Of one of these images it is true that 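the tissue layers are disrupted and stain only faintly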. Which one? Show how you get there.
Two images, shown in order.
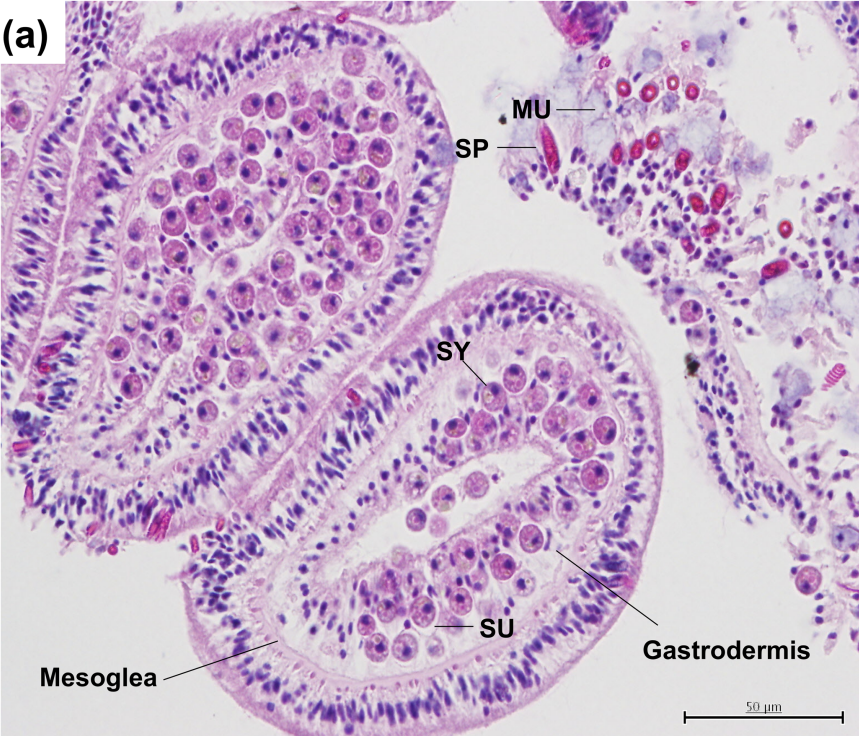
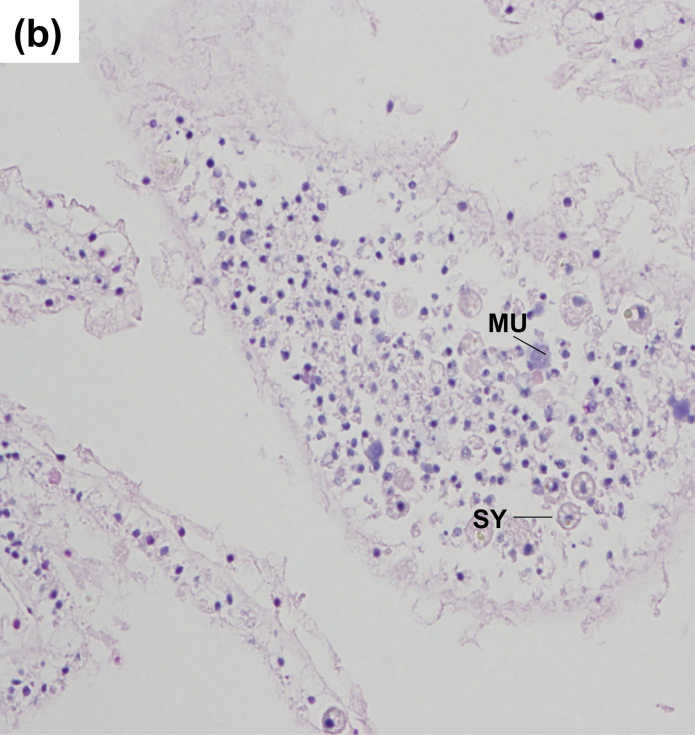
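Second image: pale, frayed tissue with scattered small dark nuclei and no clear epithelial layers. First image: intact, strongly stained epithelia with densely packed nuclei and a continuous pink middle layer. On this evidence: the second image.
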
